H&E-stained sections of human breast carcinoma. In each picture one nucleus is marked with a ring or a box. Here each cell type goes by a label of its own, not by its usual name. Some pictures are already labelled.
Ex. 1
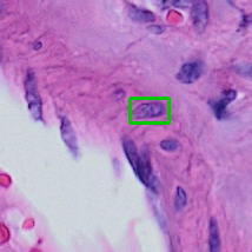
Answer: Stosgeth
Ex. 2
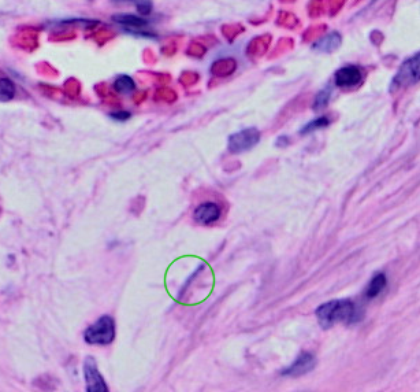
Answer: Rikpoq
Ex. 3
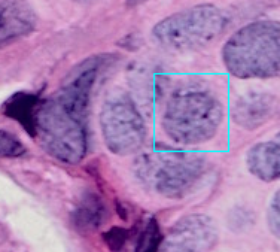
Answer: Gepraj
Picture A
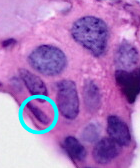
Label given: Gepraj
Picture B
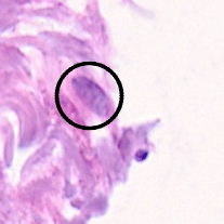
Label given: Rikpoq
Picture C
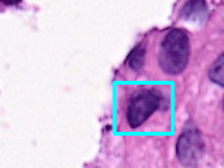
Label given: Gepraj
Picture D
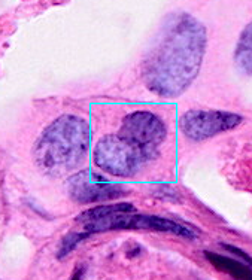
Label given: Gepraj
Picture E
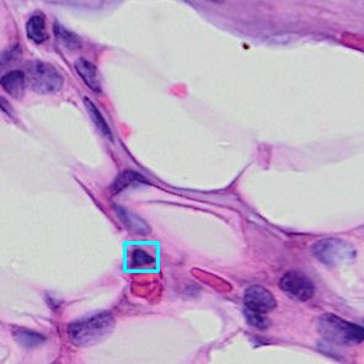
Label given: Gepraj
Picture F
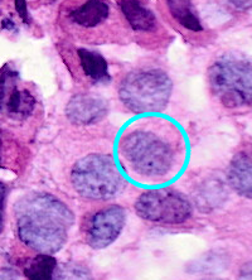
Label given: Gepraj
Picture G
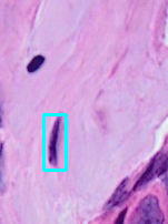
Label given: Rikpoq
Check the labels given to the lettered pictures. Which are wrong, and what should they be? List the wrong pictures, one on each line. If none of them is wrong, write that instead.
E: not Gepraj but Stosgeth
